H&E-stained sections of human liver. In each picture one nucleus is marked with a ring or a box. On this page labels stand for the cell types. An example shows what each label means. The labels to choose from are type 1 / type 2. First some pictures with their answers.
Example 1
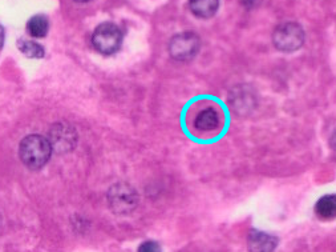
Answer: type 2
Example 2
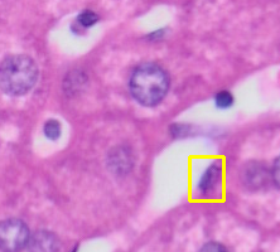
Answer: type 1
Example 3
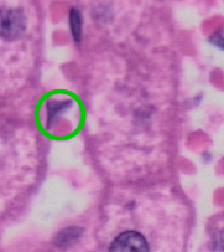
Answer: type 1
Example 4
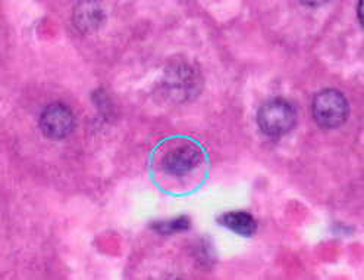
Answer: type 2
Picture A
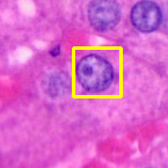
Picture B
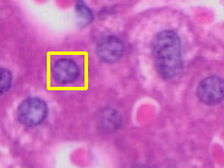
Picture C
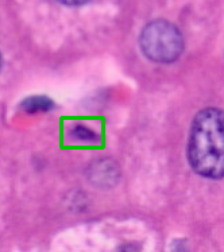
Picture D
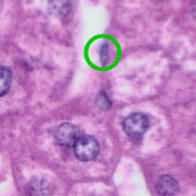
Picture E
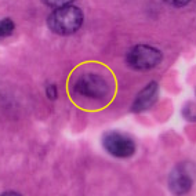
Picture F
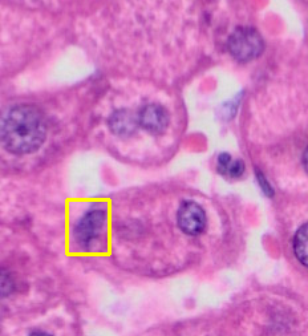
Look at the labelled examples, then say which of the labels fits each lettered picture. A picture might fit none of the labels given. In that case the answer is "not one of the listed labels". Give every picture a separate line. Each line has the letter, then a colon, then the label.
A: not one of the listed labels
B: not one of the listed labels
C: type 2
D: type 1
E: not one of the listed labels
F: type 2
